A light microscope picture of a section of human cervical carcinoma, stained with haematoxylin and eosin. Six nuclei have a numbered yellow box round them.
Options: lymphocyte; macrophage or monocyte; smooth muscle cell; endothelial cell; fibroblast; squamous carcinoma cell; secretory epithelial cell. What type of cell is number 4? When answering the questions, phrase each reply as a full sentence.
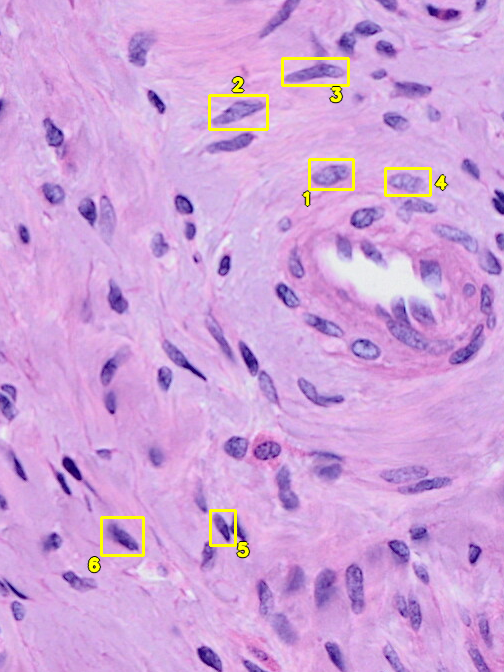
The cell assigned the number 4 is a smooth muscle cell.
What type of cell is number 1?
The correct answer for cell 1 is a smooth muscle cell.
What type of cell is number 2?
The cell referenced by the number 2 is a fibroblast in this field.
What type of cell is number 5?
The cell referenced by the number 5 is a fibroblast in this field.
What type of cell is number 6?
The cell that is numbered 6 is a fibroblast.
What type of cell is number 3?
Cell 3 in the field of view is a fibroblast.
